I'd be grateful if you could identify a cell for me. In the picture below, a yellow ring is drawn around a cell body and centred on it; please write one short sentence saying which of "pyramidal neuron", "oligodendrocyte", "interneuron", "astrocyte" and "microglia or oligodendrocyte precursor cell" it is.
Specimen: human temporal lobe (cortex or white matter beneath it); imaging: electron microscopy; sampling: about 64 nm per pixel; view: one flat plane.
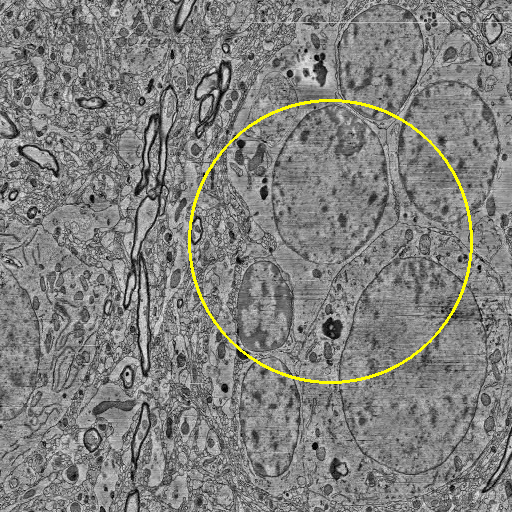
The cell under the ring's centre is an astrocyte.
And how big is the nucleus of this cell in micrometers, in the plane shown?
Roughly 11 micrometres by 7 micrometres, in this plane.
